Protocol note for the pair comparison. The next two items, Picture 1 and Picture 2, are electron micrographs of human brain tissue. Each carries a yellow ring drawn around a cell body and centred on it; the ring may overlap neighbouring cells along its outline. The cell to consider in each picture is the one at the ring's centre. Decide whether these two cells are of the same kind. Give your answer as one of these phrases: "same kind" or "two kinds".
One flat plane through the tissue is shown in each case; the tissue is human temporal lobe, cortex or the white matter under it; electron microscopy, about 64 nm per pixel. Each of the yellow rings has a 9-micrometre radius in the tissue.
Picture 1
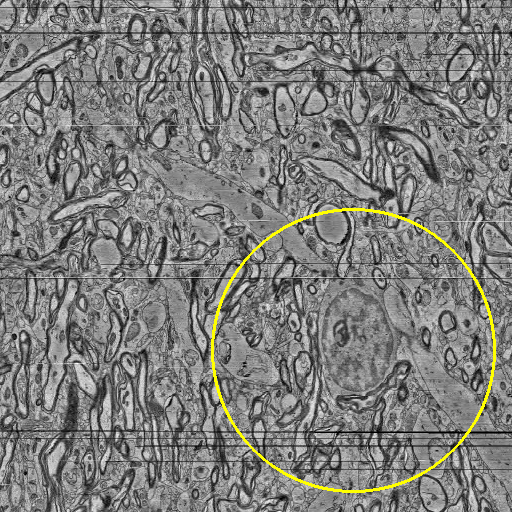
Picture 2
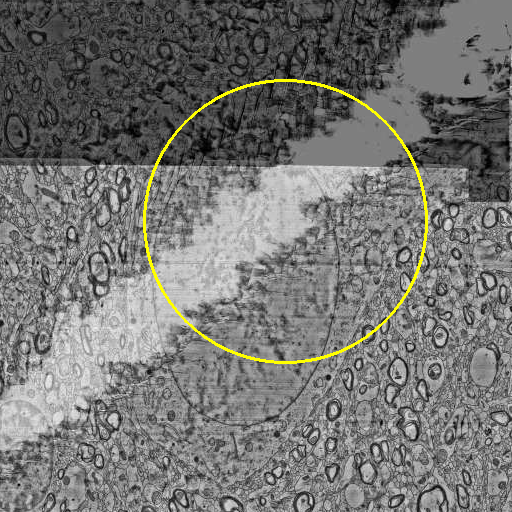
two kinds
